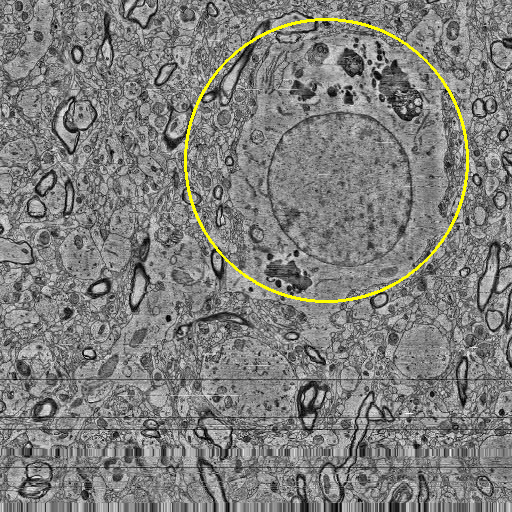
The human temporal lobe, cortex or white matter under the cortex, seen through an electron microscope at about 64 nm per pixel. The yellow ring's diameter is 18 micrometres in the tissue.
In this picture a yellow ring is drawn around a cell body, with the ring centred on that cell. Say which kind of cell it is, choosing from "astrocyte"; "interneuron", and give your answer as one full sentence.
Here it is an astrocyte that sits at the centre of the drawn yellow ring.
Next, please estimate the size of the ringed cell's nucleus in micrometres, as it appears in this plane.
The ringed cell's nucleus is about 10 micrometres across in this plane.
